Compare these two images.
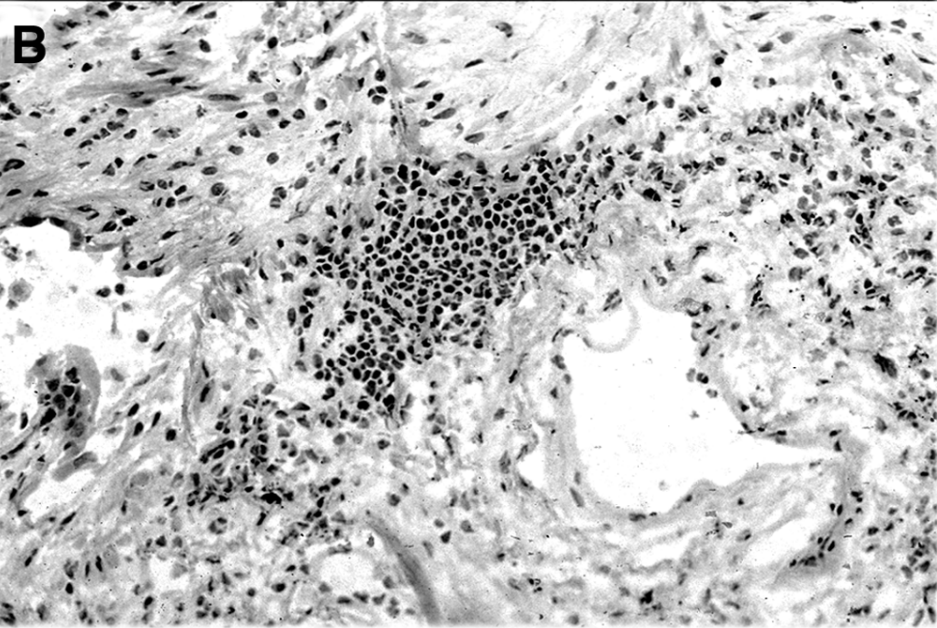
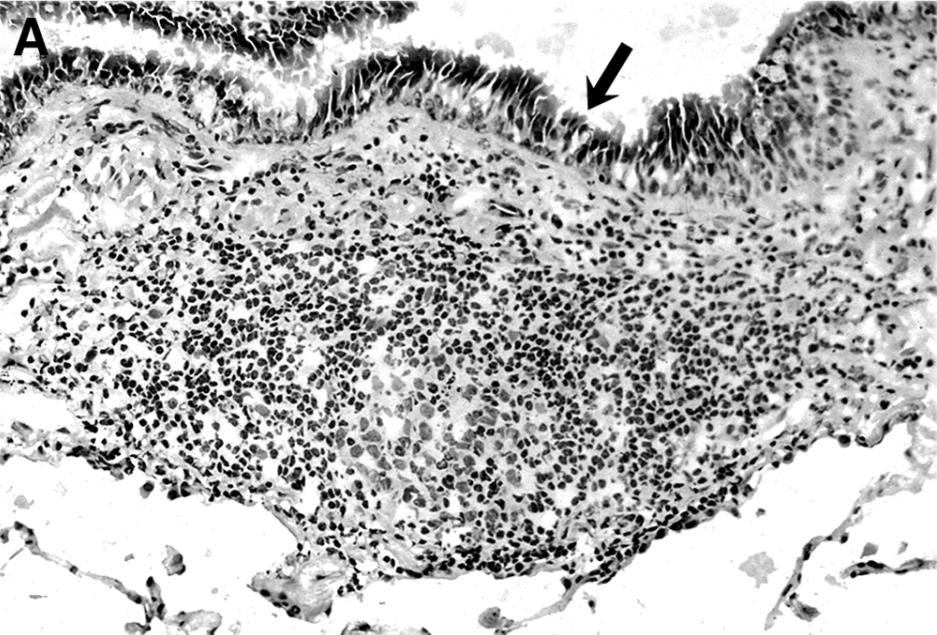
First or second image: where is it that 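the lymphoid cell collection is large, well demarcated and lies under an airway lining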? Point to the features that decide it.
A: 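First image: a small cluster of small round dark cells with edges blending into fibrous tissue, no airway lining nearby. So: the second image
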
